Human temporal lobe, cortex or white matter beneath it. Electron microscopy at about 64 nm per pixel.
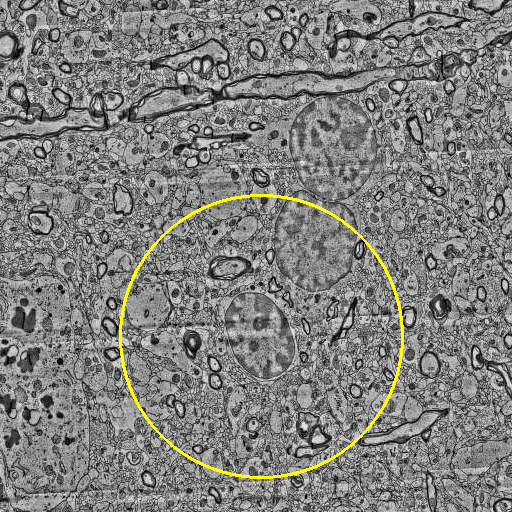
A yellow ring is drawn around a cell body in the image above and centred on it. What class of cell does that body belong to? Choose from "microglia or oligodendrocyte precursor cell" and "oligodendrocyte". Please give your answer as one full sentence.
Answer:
The yellow ring above is centred on the cell body of a microglial cell or oligodendrocyte precursor cell.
